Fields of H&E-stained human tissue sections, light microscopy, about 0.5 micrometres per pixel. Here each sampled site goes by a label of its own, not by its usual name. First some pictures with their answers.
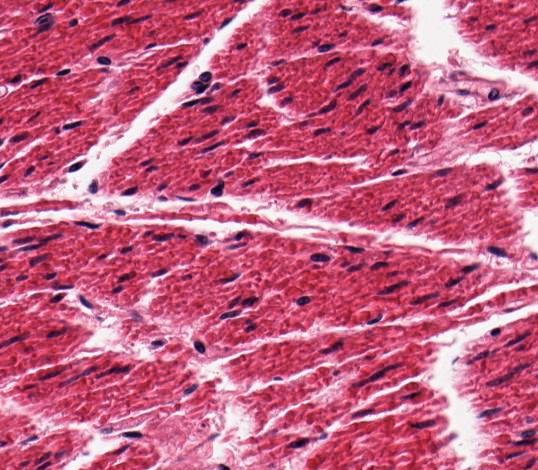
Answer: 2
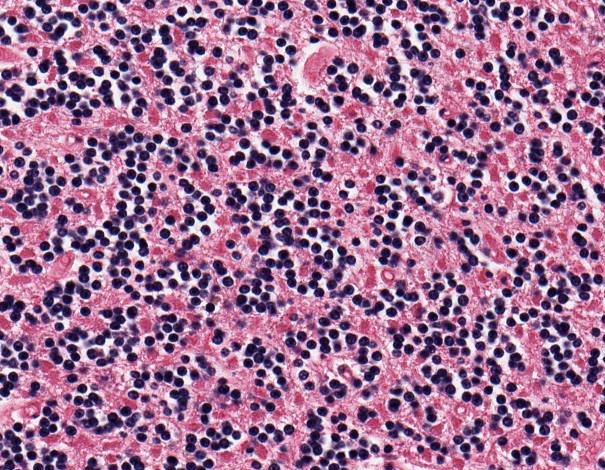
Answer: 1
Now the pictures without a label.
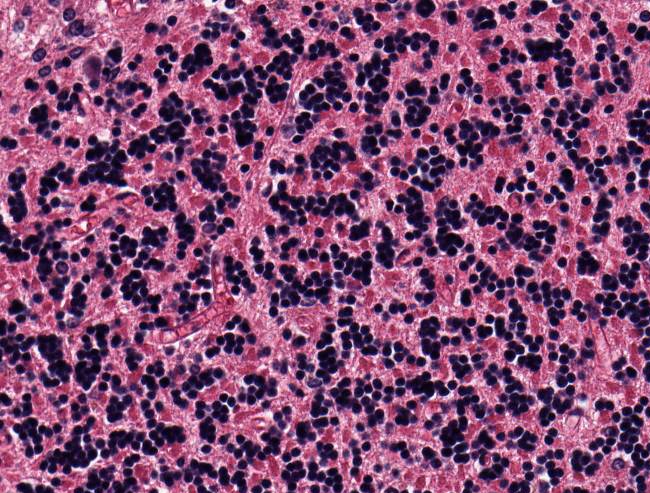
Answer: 1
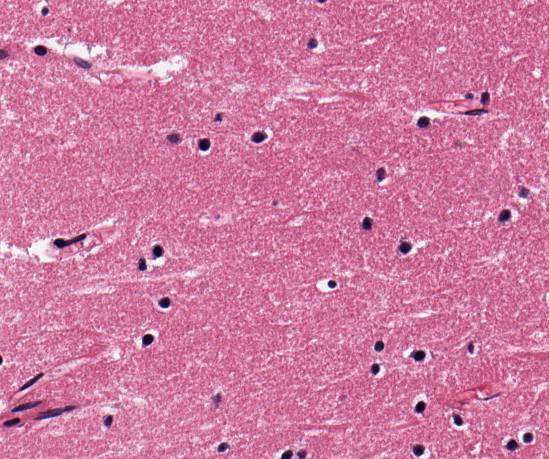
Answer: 1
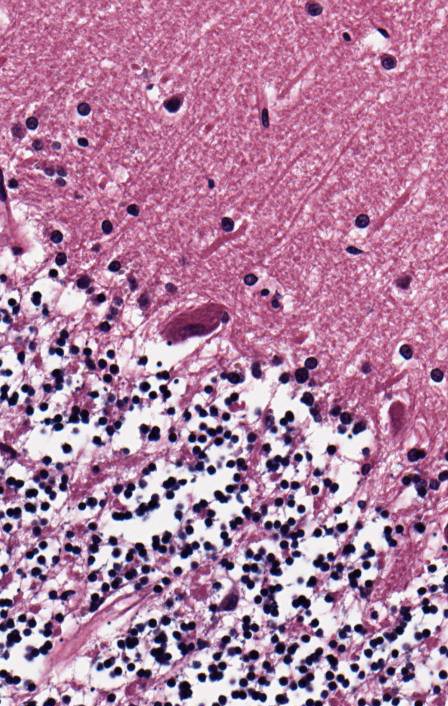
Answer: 1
